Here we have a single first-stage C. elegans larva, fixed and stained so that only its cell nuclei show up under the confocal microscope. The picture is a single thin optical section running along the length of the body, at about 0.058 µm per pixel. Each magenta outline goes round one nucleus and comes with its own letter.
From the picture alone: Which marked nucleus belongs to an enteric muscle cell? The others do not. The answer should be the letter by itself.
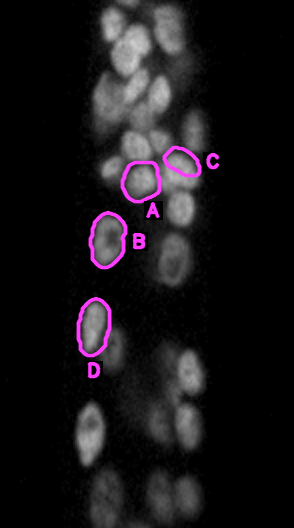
A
